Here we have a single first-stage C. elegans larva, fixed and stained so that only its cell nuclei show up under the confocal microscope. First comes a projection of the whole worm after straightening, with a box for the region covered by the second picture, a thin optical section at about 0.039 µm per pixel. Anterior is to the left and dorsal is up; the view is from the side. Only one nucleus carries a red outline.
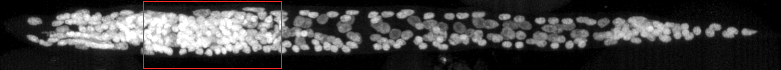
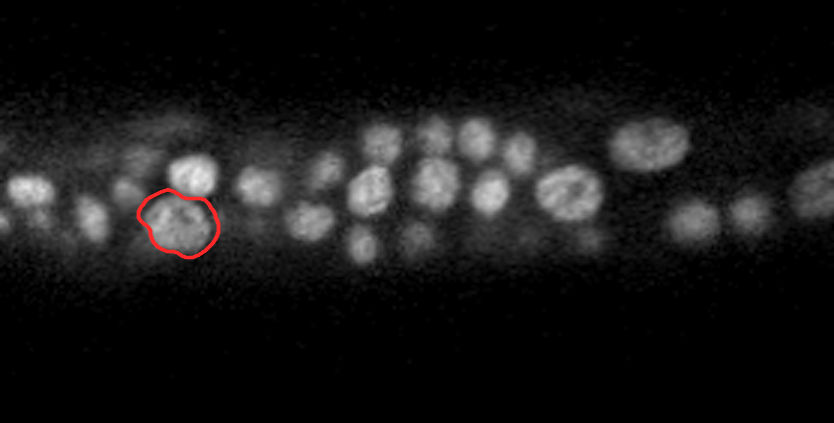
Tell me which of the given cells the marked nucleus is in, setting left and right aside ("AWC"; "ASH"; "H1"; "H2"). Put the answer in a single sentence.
The nucleus is from H1, a seam cell.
